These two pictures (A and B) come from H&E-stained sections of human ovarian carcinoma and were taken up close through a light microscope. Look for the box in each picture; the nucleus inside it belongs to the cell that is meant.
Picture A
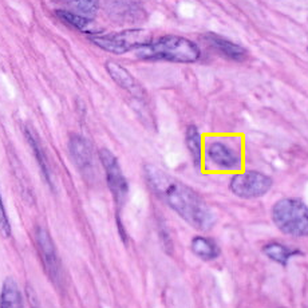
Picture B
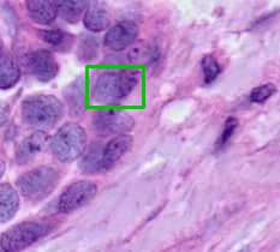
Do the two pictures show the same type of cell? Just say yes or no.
no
